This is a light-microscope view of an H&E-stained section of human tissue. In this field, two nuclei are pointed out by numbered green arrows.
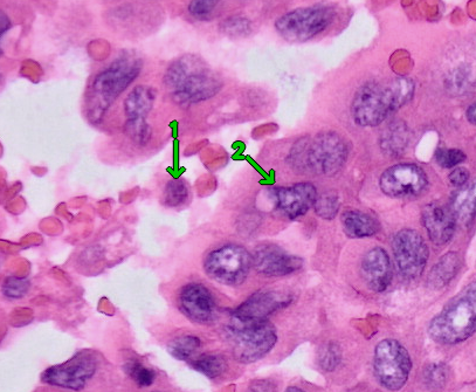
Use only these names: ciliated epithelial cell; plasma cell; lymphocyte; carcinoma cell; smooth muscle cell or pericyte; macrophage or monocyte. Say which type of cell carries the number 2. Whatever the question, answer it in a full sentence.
The nucleus labeled 2 belongs to a carcinoma cell.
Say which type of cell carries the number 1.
The cell referenced by the number 1 is a macrophage or monocyte in this field.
